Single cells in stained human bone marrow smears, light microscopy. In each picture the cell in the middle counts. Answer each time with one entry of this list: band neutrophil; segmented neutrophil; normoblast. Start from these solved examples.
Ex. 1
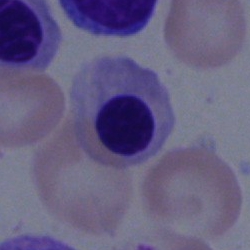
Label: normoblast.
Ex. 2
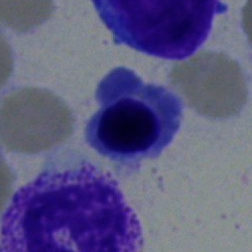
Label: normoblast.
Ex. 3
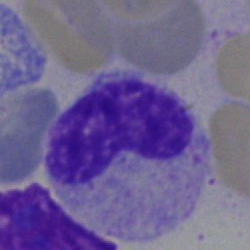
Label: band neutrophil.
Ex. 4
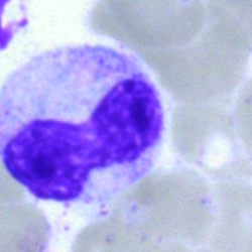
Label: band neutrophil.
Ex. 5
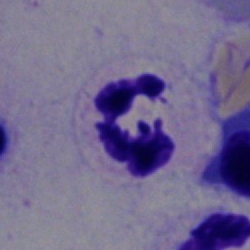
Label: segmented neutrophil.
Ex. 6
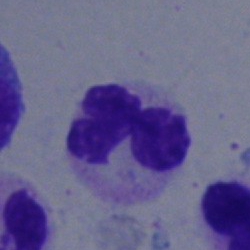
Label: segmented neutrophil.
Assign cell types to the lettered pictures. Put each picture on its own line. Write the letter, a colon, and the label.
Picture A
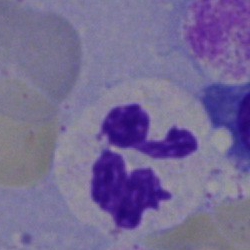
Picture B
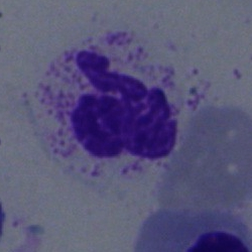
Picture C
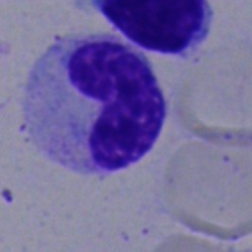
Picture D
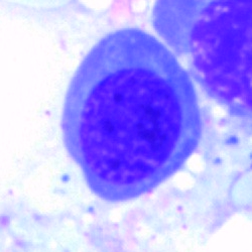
A: segmented neutrophil.
B: segmented neutrophil.
C: band neutrophil.
D: normoblast.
